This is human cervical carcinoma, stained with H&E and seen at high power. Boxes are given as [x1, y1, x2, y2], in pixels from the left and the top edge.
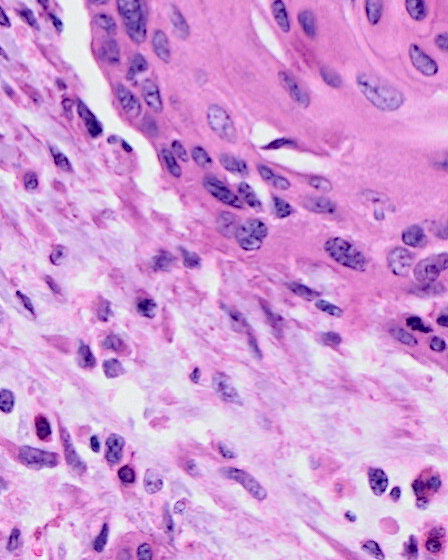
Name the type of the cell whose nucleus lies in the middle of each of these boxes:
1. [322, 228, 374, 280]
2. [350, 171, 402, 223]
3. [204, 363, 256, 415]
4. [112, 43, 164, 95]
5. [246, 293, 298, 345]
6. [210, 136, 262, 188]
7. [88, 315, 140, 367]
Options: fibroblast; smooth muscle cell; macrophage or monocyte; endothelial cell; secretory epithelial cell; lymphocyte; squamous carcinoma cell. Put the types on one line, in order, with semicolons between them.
squamous carcinoma cell; squamous carcinoma cell; fibroblast; squamous carcinoma cell; fibroblast; squamous carcinoma cell; macrophage or monocyte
